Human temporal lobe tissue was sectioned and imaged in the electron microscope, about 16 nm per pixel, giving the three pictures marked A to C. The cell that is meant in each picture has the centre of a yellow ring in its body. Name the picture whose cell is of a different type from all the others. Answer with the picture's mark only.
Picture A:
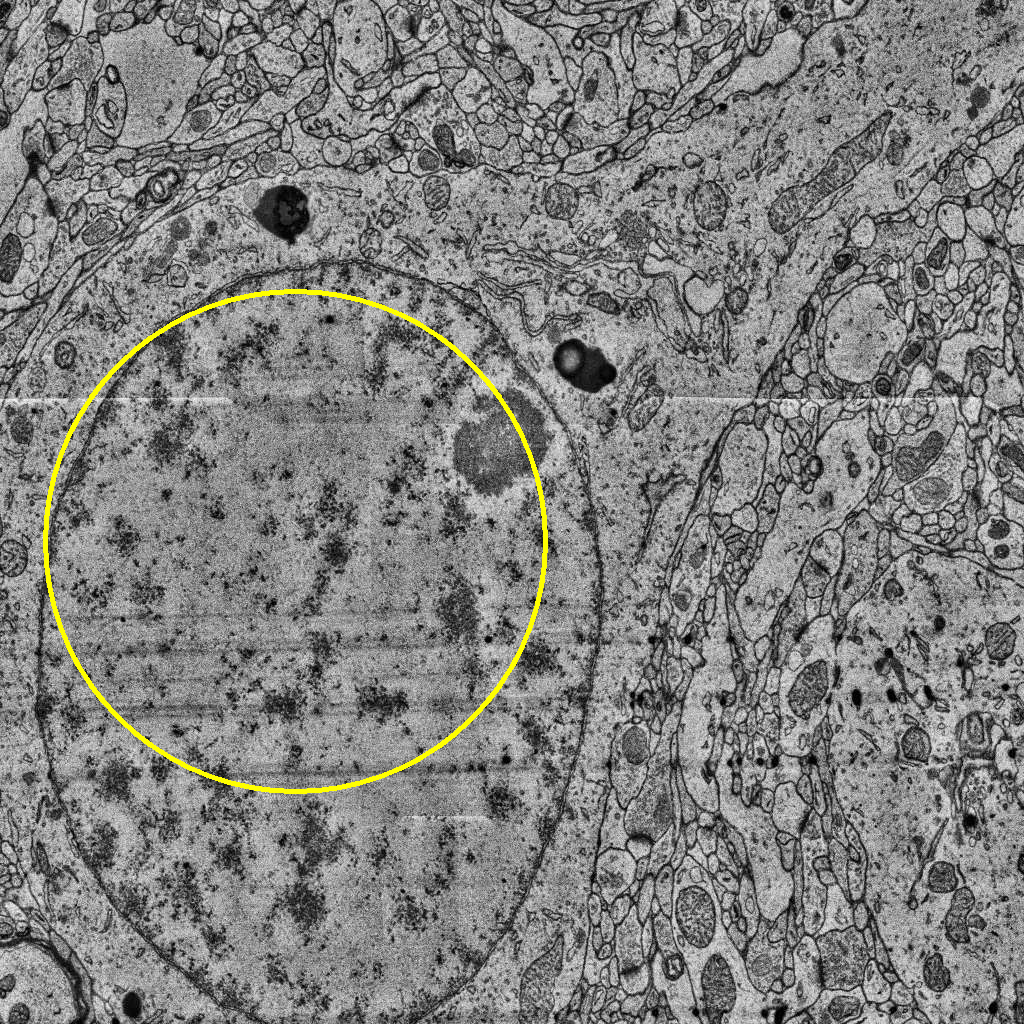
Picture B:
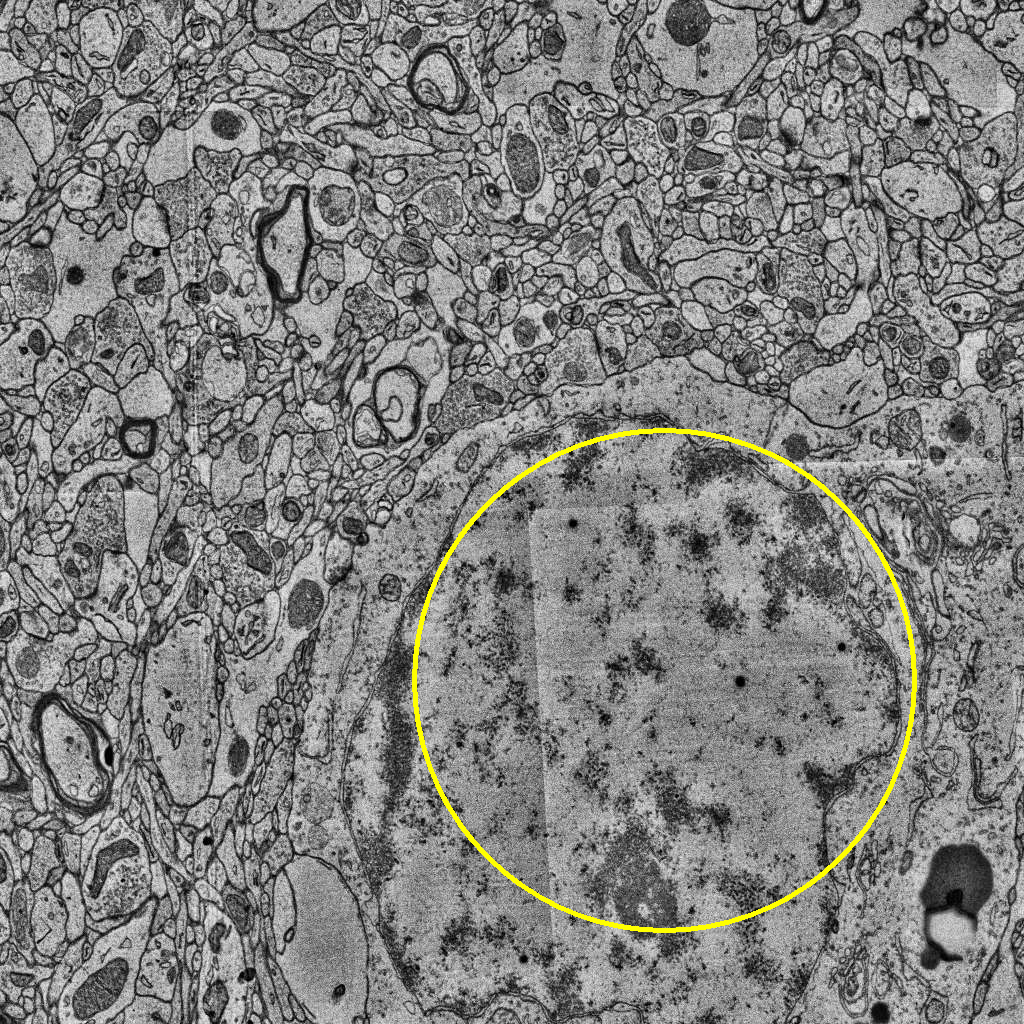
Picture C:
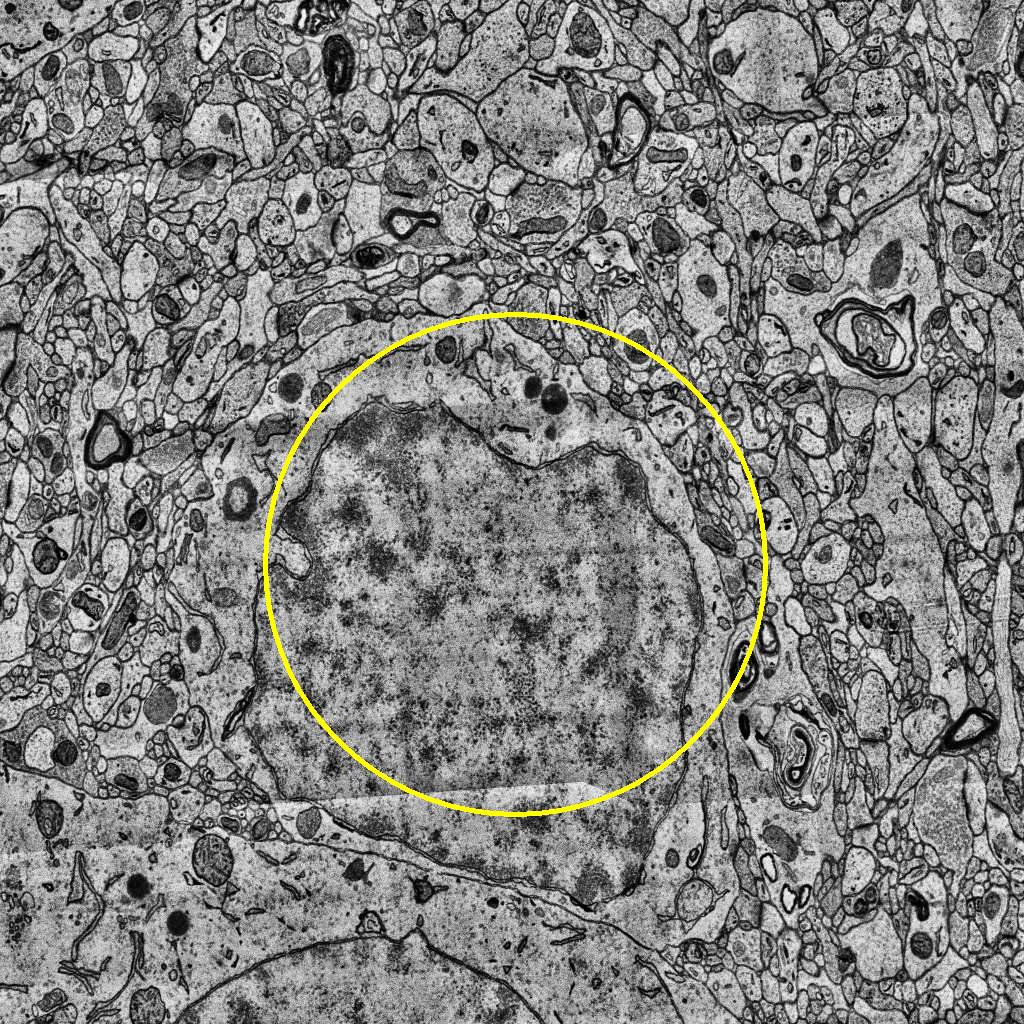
A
